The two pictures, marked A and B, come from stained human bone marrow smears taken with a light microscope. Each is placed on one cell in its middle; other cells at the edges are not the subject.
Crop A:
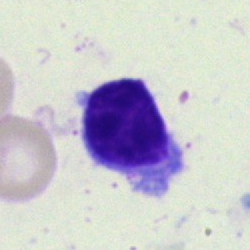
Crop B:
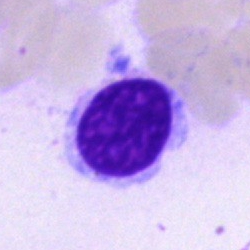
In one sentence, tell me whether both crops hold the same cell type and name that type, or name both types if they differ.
Yes, lymphocytes are the cells in the middle of both crops.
